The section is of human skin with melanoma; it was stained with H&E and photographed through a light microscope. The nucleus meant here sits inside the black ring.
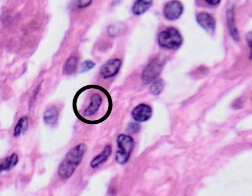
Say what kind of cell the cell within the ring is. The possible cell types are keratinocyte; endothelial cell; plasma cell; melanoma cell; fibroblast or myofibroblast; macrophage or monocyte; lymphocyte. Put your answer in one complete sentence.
The classification of the cell within the ring is as a macrophage or monocyte.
